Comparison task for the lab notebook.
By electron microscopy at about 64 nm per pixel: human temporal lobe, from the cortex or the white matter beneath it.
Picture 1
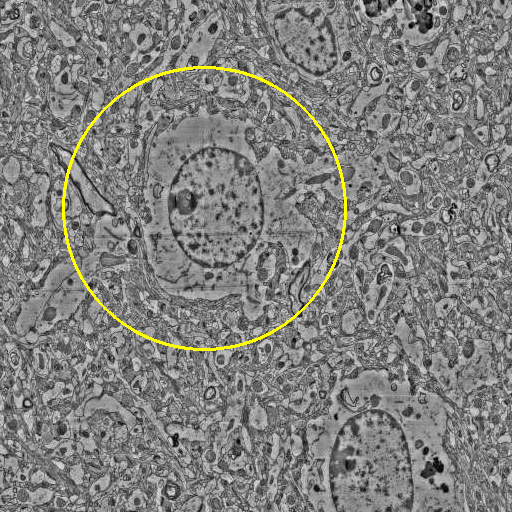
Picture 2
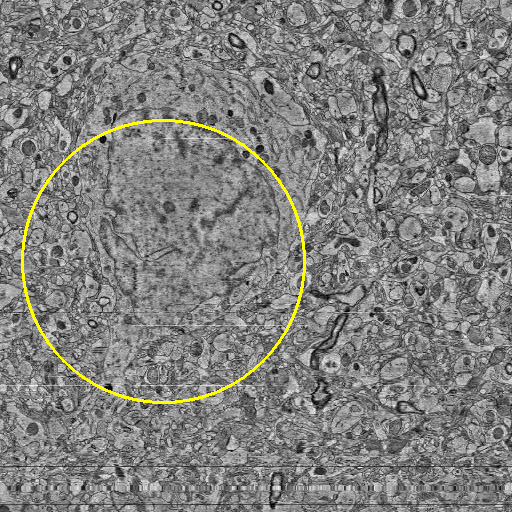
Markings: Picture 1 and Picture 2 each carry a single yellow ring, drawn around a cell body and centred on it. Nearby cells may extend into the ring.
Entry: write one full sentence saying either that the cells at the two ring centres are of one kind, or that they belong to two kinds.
The cells sitting at the ring centres in Picture 1 and Picture 2 belong to two kinds.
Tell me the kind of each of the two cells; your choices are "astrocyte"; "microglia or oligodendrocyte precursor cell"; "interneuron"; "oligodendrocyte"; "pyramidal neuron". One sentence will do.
The ringed cell is an astrocyte in the first picture and an interneuron in the second picture.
